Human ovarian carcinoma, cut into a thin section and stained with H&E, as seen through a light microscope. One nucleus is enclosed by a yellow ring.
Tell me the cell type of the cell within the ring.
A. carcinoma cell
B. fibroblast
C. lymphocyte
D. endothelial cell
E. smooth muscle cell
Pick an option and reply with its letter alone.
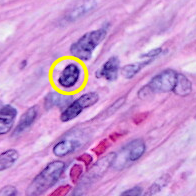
C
